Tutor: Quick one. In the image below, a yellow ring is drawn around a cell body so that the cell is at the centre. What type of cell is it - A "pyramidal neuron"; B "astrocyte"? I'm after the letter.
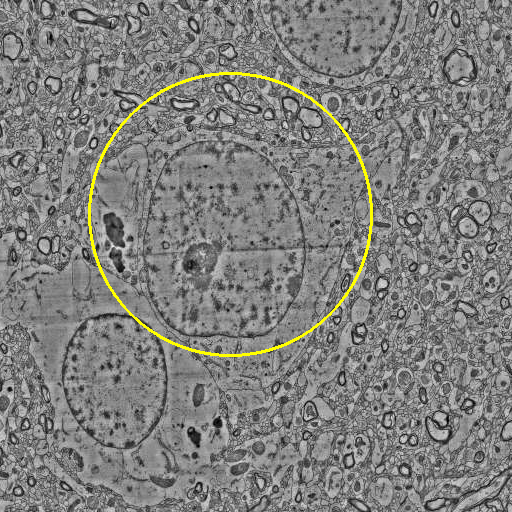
A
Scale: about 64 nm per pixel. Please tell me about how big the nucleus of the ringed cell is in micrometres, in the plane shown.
Approximately 13 x 11 micrometres in this plane.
